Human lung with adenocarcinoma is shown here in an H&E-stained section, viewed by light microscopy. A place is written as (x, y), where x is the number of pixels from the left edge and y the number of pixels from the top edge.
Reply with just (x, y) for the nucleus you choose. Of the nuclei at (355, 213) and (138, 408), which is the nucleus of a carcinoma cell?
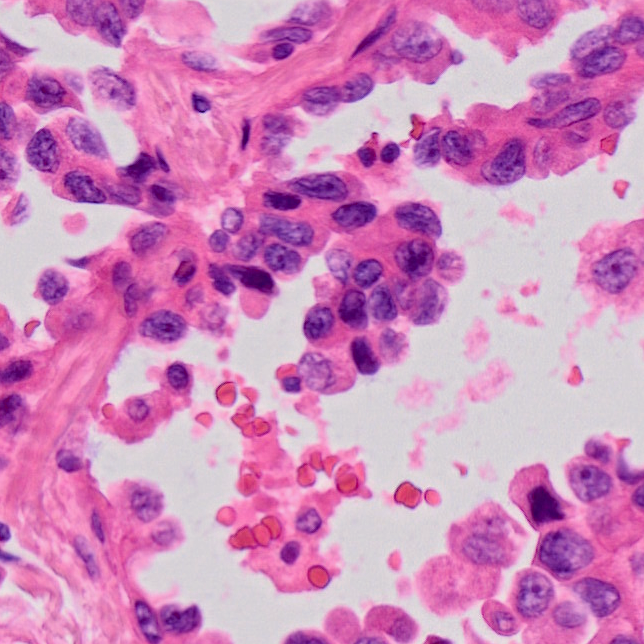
(355, 213)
